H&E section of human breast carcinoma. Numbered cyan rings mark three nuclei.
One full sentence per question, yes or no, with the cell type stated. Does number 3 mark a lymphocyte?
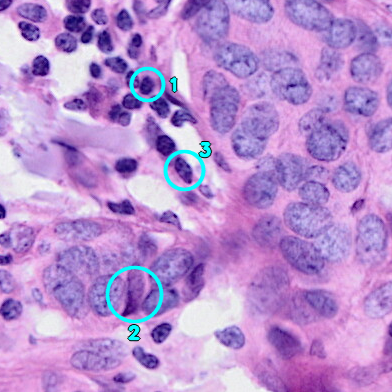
Yes, for number 3, the cell is a lymphocyte.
